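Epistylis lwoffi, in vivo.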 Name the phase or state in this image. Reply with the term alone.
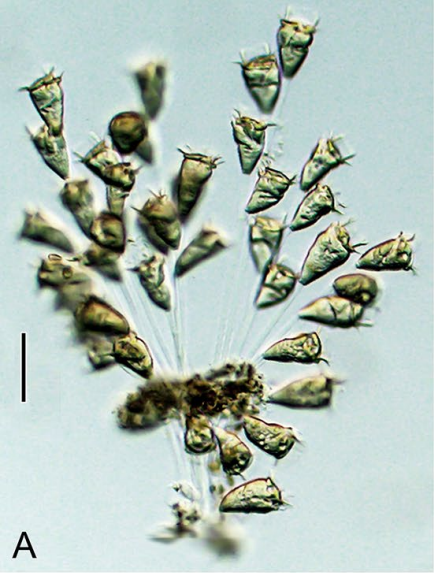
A: Mature colonies.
